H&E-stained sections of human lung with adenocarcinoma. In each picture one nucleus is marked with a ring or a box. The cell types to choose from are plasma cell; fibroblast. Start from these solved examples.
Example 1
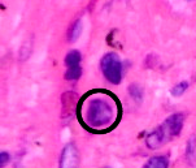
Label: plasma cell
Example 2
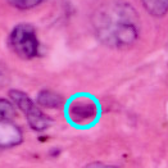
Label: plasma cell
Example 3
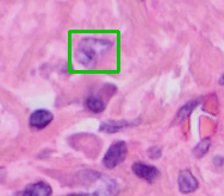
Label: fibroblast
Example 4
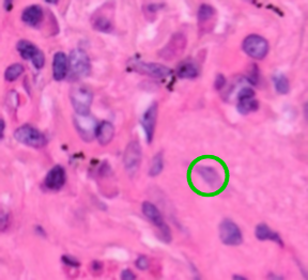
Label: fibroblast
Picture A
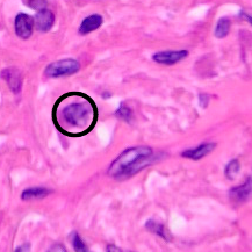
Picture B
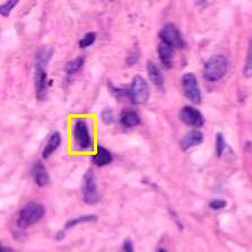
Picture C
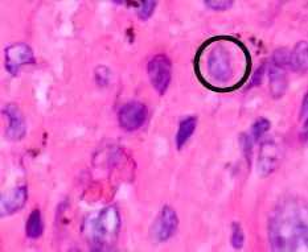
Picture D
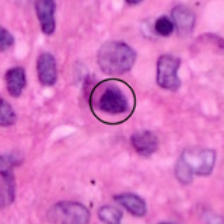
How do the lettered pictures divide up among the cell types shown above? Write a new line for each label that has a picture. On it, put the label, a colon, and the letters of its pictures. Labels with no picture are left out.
plasma cell: A, B, D
fibroblast: C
